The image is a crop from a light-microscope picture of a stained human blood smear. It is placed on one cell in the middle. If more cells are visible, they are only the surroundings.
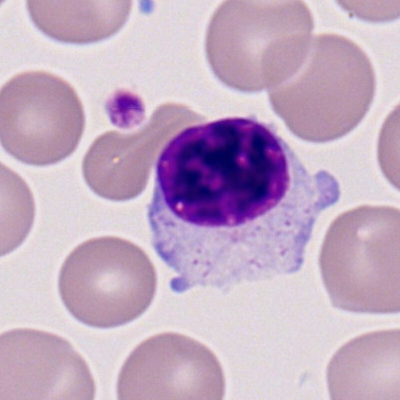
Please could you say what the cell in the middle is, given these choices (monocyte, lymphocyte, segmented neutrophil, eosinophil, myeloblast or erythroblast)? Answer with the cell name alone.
lymphocyte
